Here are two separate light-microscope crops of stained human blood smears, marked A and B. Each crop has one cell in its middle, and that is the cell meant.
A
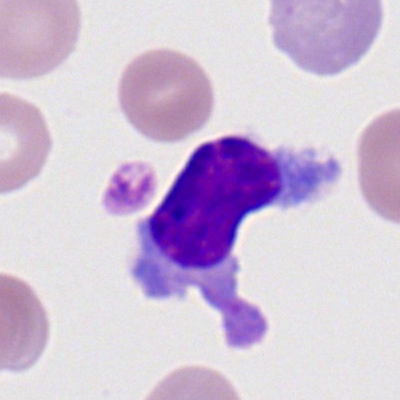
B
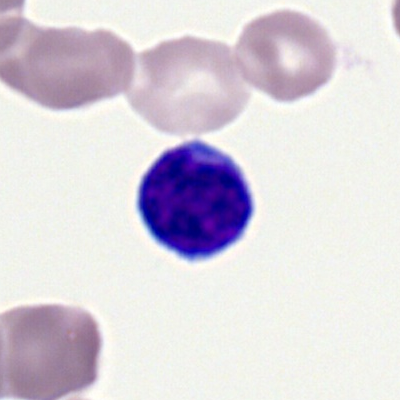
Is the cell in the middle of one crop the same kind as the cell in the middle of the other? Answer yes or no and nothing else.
yes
